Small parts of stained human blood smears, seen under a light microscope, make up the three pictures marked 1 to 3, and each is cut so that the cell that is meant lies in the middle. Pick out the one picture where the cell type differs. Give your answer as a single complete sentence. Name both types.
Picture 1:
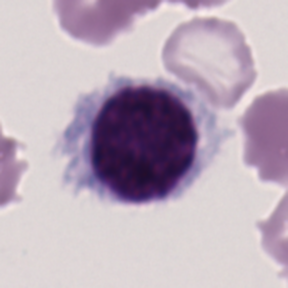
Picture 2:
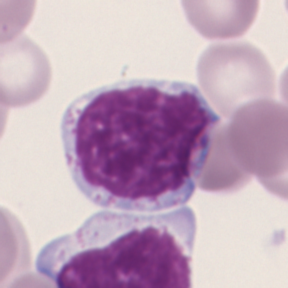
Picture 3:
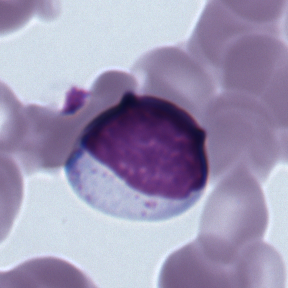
Picture 1 is the odd one out: it shows a hairy cell, while the others show large granular lymphocytes.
